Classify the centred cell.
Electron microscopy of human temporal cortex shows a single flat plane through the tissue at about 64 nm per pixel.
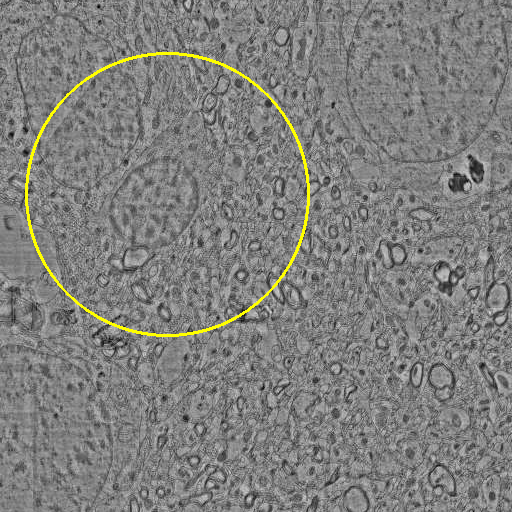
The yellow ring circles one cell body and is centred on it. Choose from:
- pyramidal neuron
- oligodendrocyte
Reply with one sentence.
The ring is centred on an oligodendrocyte.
